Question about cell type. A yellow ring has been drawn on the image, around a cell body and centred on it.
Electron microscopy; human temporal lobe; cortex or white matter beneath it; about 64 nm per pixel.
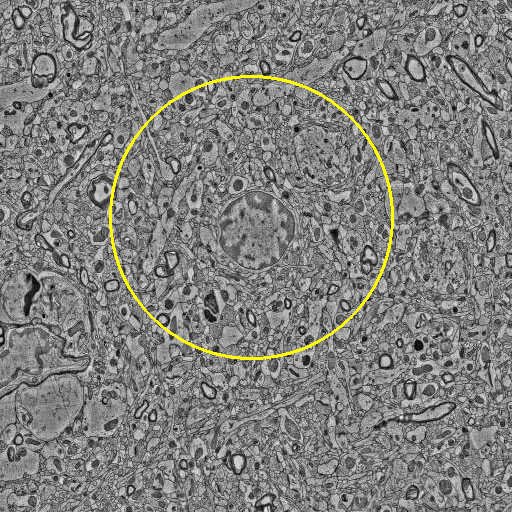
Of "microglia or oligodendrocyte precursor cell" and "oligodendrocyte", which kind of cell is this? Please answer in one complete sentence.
At the centre of the ring lies a microglial cell or oligodendrocyte precursor cell.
